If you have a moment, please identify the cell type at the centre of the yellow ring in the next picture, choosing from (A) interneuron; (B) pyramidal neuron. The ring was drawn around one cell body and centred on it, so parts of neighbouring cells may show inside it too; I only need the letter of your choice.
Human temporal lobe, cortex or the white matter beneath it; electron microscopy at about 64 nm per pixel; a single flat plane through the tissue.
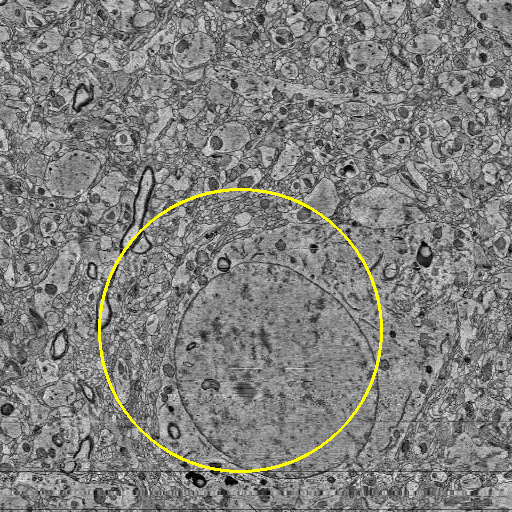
B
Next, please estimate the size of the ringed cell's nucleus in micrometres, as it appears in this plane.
In this plane, the nucleus of the cell at the centre of the ring measures about 15 by 12 micrometres.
